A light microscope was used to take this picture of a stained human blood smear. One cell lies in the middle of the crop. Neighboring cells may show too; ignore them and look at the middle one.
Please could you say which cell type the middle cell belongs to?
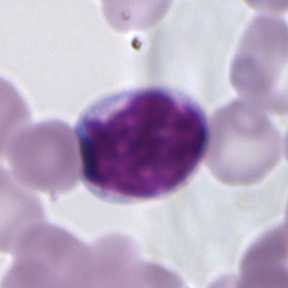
large granular lymphocyte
